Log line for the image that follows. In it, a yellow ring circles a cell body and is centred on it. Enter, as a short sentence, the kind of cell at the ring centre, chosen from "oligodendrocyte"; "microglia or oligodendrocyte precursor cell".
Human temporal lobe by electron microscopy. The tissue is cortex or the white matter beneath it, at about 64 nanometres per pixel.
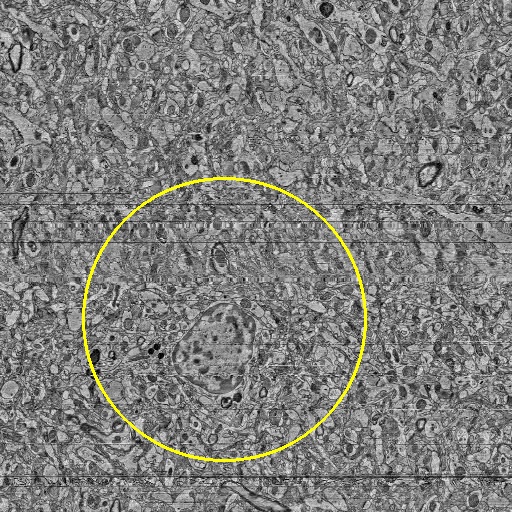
The ring centre is occupied by a microglial cell or oligodendrocyte precursor cell.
